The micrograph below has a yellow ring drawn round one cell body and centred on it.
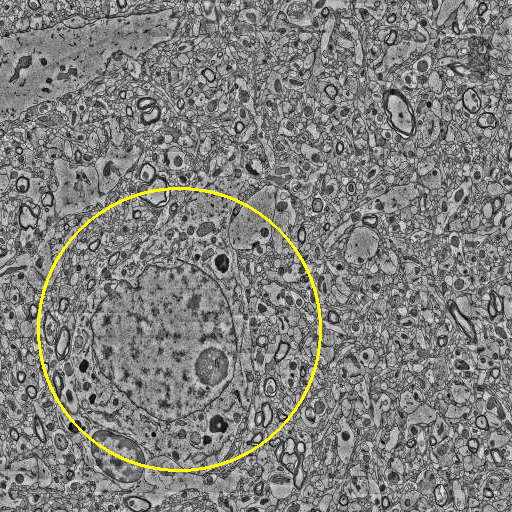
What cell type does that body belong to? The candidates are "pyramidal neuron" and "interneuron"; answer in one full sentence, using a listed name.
This is a pyramidal neuron, the cell whose body lies at the centre of the ring.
